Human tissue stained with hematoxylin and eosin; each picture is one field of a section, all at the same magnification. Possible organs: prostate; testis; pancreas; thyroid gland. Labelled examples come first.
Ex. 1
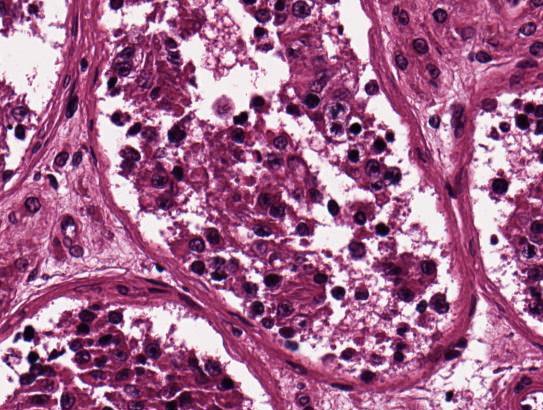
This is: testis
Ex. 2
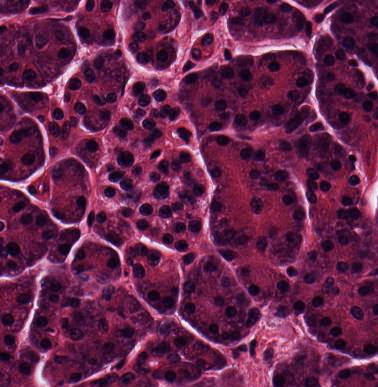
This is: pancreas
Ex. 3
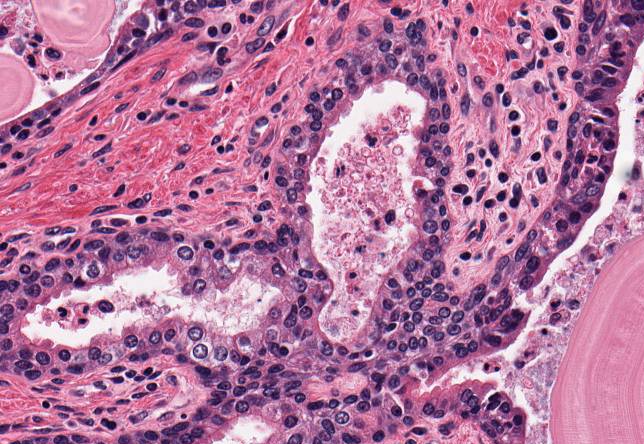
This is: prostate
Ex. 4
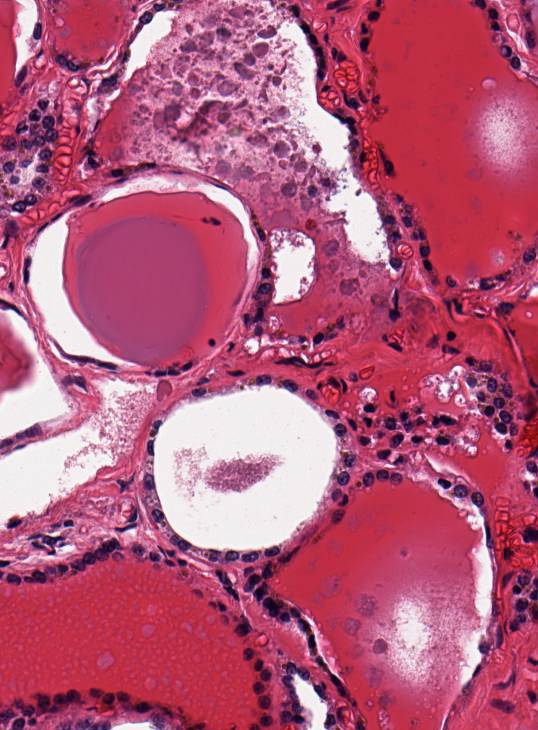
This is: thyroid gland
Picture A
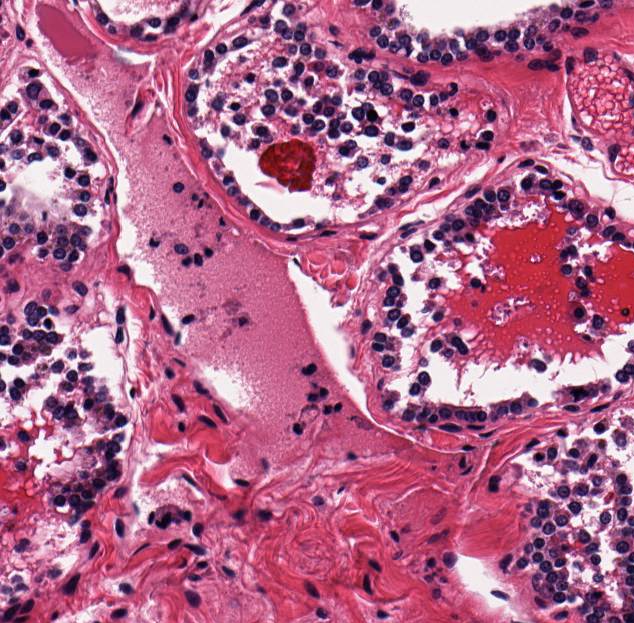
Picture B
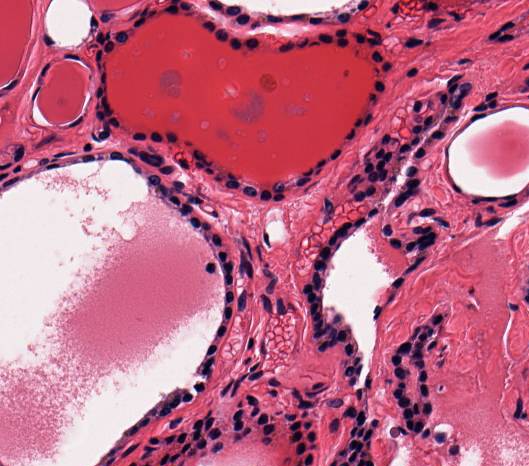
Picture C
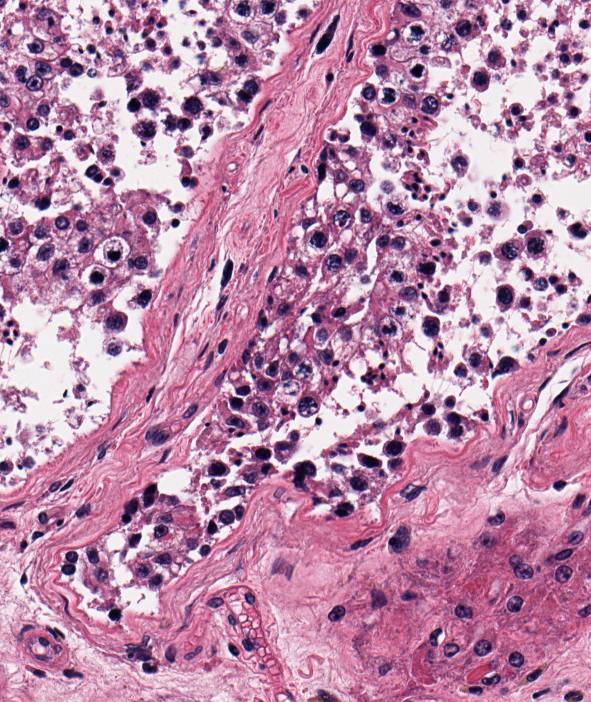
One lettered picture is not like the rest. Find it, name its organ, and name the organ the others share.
C: testis; all the others: thyroid gland.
